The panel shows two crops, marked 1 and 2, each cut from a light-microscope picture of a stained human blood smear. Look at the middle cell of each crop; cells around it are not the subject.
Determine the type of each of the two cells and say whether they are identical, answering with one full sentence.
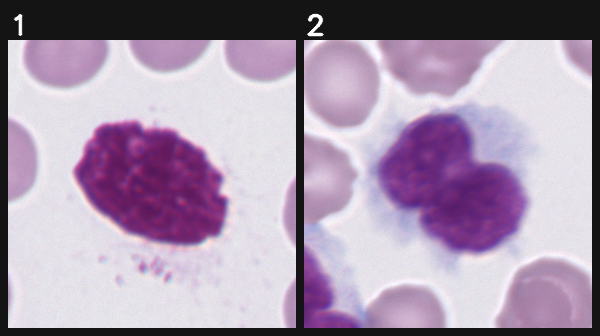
No, while a smudge cell is found in crop 1, a hairy cell is found in crop 2.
